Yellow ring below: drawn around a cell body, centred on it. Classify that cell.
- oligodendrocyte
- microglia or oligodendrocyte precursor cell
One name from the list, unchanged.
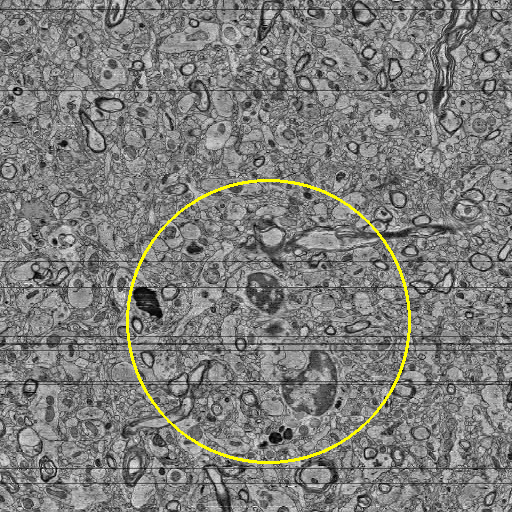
microglia or oligodendrocyte precursor cell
